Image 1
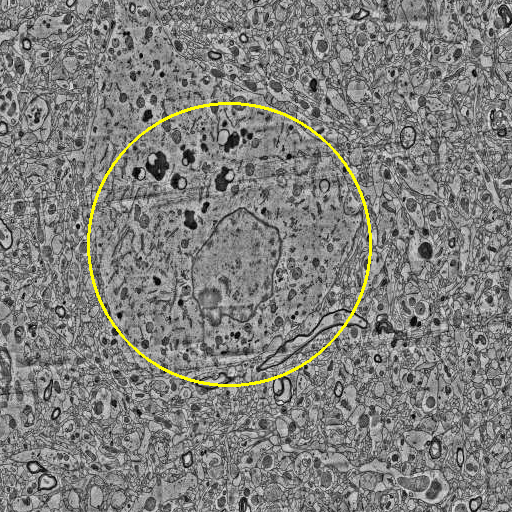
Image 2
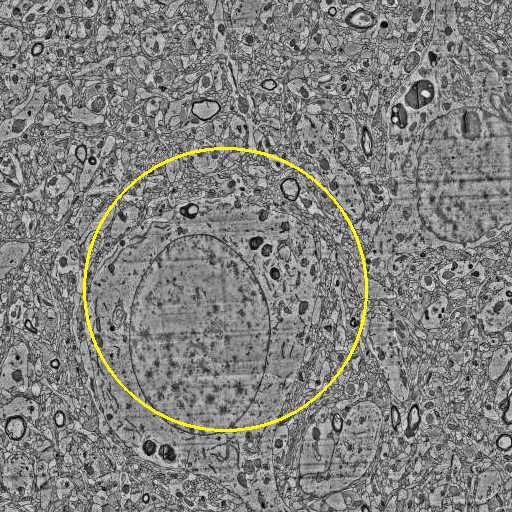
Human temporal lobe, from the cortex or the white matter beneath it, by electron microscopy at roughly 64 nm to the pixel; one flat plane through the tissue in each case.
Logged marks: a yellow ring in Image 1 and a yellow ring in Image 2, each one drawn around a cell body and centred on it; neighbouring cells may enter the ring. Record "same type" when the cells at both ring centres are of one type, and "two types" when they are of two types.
same type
